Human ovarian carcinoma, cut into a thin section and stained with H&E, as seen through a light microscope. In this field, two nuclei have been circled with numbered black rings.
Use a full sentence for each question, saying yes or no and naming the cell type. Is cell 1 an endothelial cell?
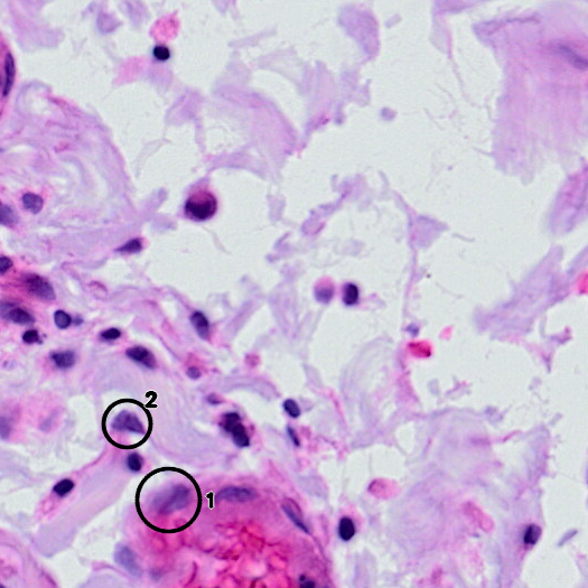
Yes, the cell to which number 1 refers is an endothelial cell.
